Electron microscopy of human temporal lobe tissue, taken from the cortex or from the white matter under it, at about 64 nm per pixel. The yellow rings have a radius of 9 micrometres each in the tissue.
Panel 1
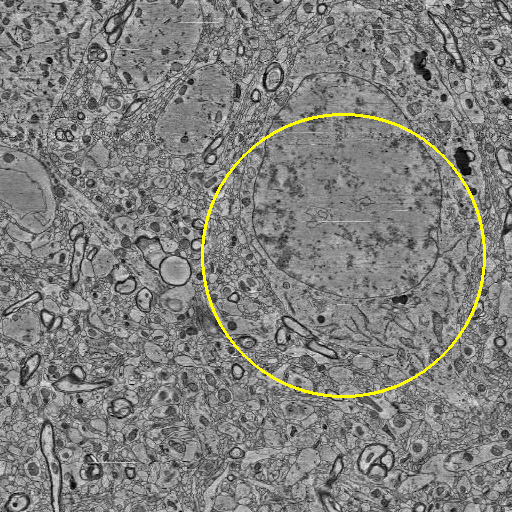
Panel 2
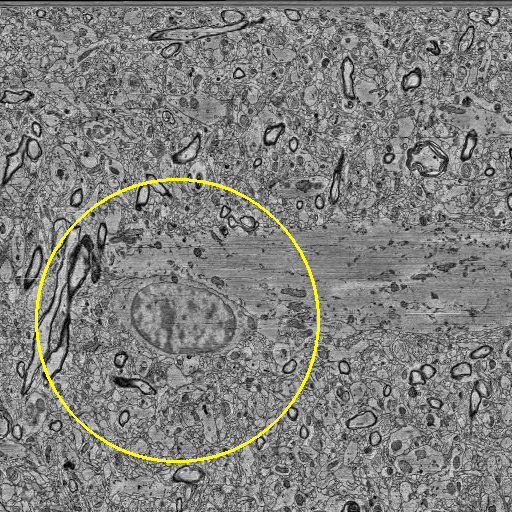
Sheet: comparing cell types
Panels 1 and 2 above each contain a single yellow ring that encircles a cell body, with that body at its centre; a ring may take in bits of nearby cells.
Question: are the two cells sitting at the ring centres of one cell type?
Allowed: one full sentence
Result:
No, the ring-centre cells in Panel 1 and Panel 2 are of two types.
